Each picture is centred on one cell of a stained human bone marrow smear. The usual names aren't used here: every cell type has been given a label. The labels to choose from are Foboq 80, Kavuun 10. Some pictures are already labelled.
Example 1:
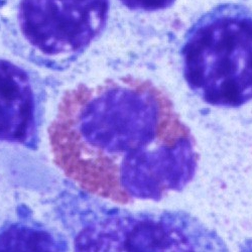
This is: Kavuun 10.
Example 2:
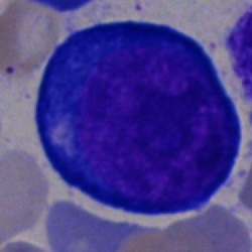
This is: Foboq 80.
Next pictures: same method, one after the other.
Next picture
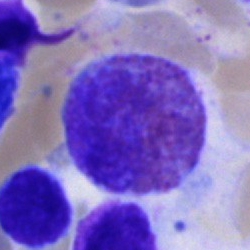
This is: Kavuun 10.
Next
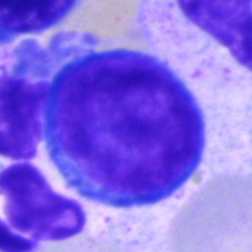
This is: Foboq 80.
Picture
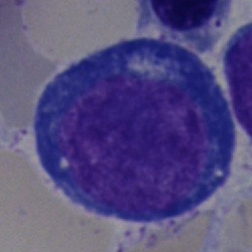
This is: Foboq 80.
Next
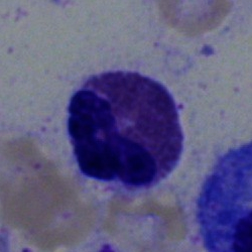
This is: Kavuun 10.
